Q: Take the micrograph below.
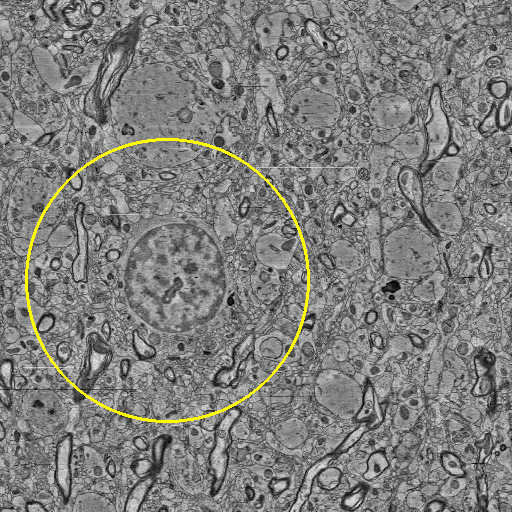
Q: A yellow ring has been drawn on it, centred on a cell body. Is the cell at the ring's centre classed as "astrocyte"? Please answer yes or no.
No, its kind is another one.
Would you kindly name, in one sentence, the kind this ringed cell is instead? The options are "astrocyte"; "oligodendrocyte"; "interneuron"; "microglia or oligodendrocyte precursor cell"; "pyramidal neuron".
Instead, the cell at the centre of the yellow ring is an oligodendrocyte.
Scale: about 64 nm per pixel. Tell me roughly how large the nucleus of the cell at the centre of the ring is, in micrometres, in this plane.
The nucleus appears about 7 micrometres across in this plane.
